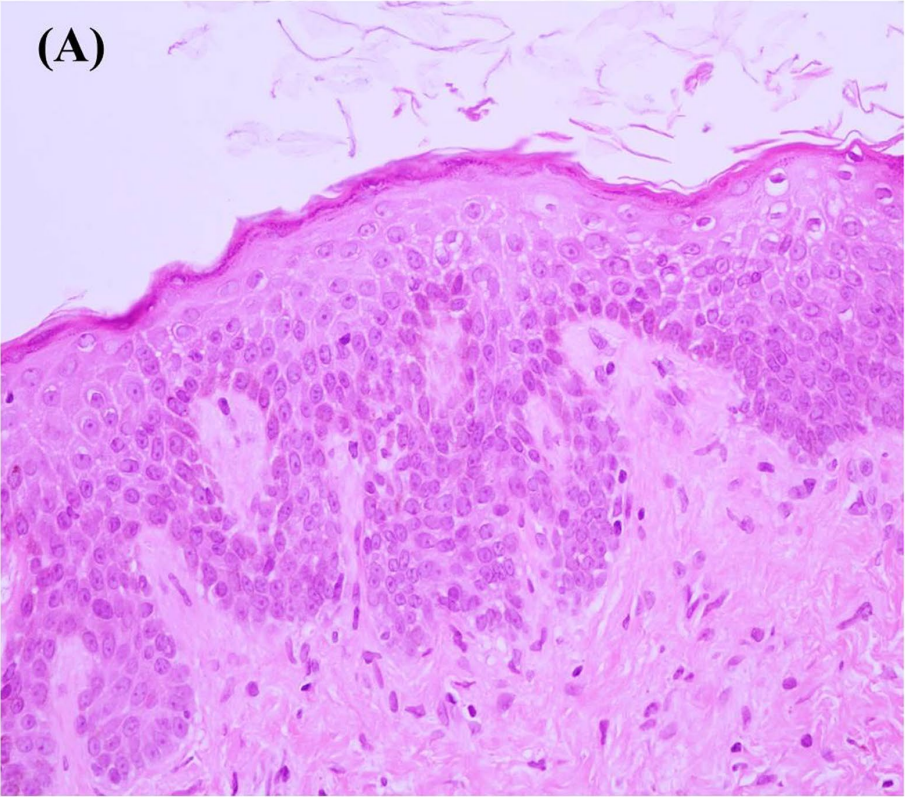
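This section shows skin, with the stratified squamous epidermis above and the upper dermis below. The surface bears a thin, compact, bright pink cornified layer without nuclei, with loose flakes of keratin lifted off above it. Beneath it the keratinocytes have round to oval purple nuclei and pale pink cytoplasm, and the rete ridges project downward into the dermis as tongues of cells. Some narrow pale spaces separate neighbouring keratinocytes in places. The upper dermis beneath is pale pink collagen with scattered cells bearing dark, oval or elongated nuclei.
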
